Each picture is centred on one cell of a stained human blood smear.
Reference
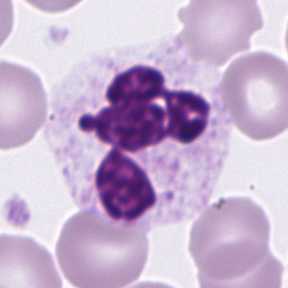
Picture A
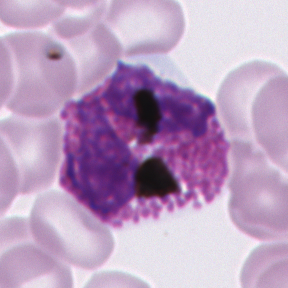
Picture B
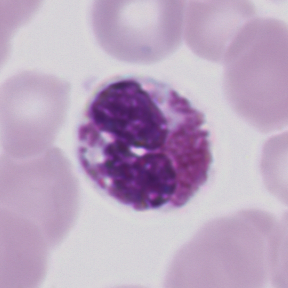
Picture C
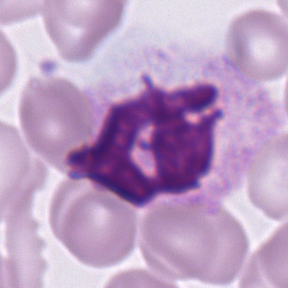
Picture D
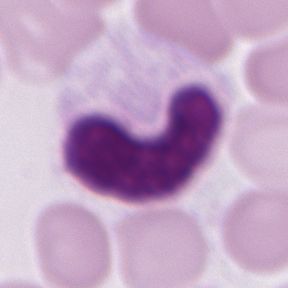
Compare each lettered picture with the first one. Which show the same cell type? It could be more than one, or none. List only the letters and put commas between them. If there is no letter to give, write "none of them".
C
